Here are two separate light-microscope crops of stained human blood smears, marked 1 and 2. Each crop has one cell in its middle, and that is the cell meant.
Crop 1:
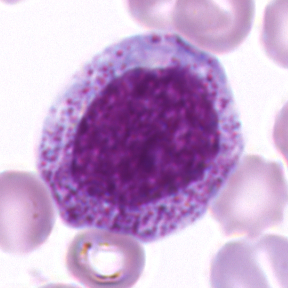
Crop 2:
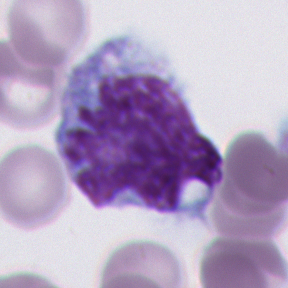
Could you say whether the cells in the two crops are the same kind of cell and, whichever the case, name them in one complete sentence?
No, a promyelocyte and a monocyte are found in crop 1 and crop 2, respectively.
